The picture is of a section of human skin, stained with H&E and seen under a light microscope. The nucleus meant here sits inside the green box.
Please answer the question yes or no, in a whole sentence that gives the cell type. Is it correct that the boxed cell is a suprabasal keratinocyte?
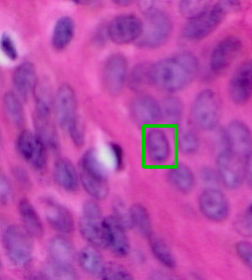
No, the boxed cell is a basal keratinocyte rather than a suprabasal keratinocyte.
